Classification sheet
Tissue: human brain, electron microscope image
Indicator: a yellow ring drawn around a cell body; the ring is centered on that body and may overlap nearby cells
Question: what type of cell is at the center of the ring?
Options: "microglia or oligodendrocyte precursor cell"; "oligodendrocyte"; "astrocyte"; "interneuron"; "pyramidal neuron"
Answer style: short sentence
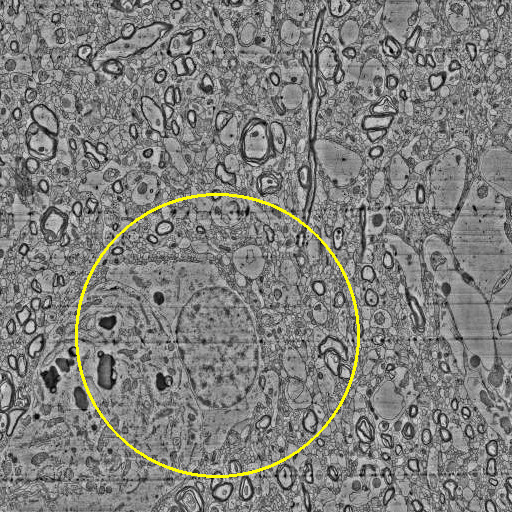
At the ring's center is a microglial cell or oligodendrocyte precursor cell.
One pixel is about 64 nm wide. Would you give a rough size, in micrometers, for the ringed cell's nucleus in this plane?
The nucleus of the ringed cell is clearly longer than it is wide in this plane, about 8 by 5 micrometres.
